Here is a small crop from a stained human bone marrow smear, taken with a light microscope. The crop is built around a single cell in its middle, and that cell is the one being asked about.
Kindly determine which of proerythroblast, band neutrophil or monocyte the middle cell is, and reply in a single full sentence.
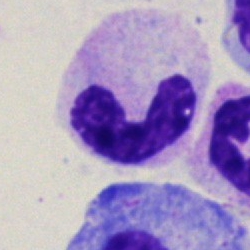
The central element of this crop is a cell, namely a band neutrophil.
